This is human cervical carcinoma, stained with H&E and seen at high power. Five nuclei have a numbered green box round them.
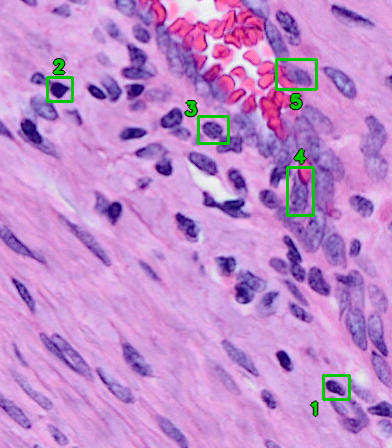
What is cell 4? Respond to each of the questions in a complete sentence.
Nucleus 4 in this section belongs to an endothelial cell.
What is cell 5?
The one numbered 5 among the marked cells is an endothelial cell.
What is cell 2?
The nucleus with number 2 is that of a lymphocyte.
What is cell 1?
In this section, the cell numbered 1 is a lymphocyte.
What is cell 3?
The one labeled 3 is a lymphocyte, to put it simply.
